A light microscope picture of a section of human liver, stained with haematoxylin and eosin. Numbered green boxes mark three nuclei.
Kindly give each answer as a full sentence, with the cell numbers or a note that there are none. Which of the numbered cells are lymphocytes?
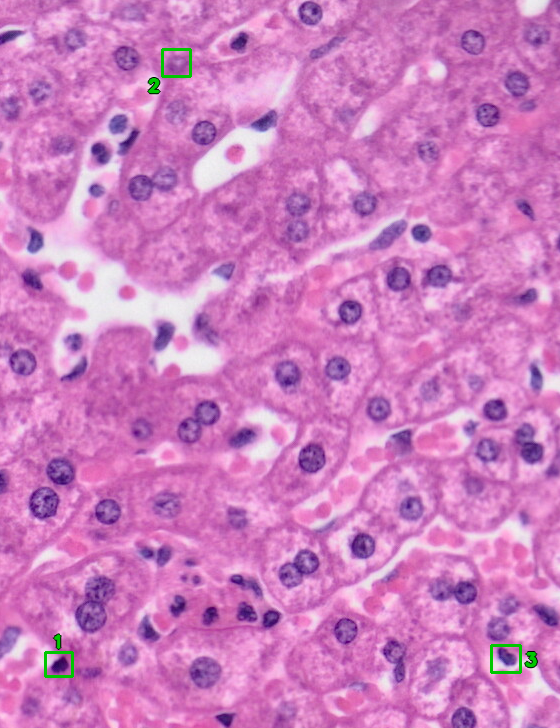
Only the cell numbered 3 is a lymphocyte, and the others are something else.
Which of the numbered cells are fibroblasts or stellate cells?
Only one choice fits: cell 1 is a fibroblast or stellate cell, and no other.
